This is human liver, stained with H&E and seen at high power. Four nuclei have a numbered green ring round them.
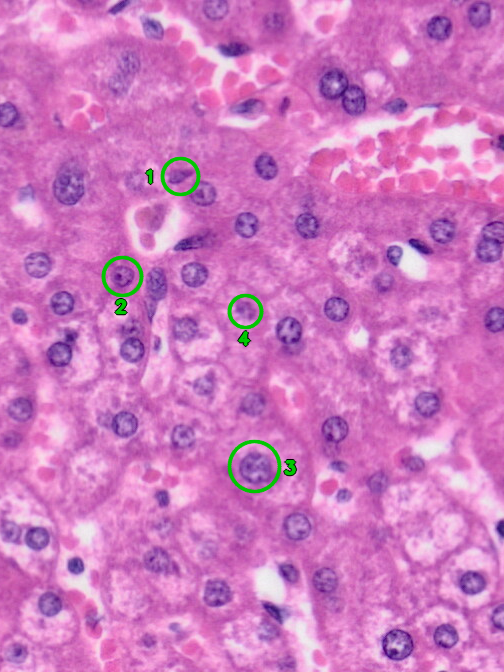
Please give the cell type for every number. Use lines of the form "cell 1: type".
cell 1: fibroblast or stellate cell
cell 2: hepatocyte
cell 3: hepatocyte
cell 4: hepatocyte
